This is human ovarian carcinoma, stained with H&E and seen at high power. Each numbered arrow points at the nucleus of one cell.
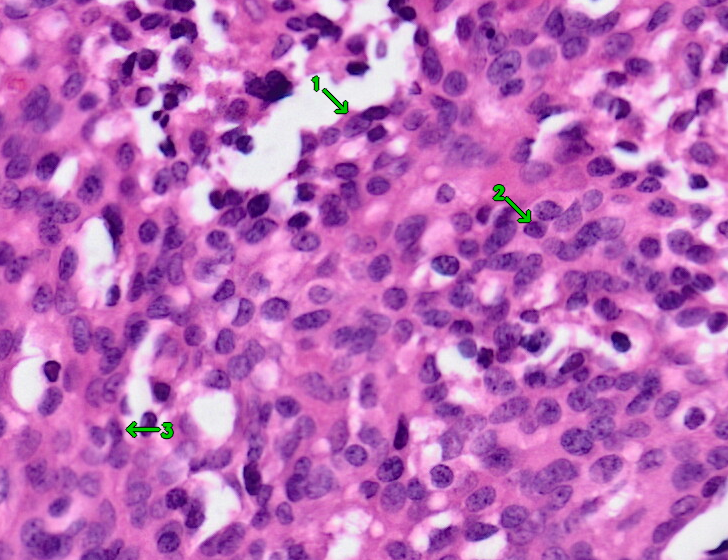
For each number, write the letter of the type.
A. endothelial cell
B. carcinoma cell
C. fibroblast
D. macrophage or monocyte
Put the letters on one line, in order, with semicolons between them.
B; D; B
